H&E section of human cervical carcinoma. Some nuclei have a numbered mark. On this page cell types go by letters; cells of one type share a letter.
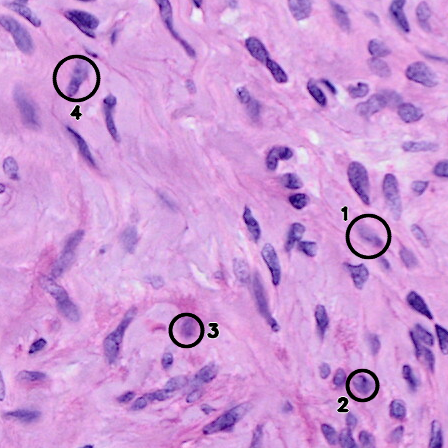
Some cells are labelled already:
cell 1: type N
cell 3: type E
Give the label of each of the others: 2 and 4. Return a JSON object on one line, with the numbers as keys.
{"2": "type E", "4": "type N"}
